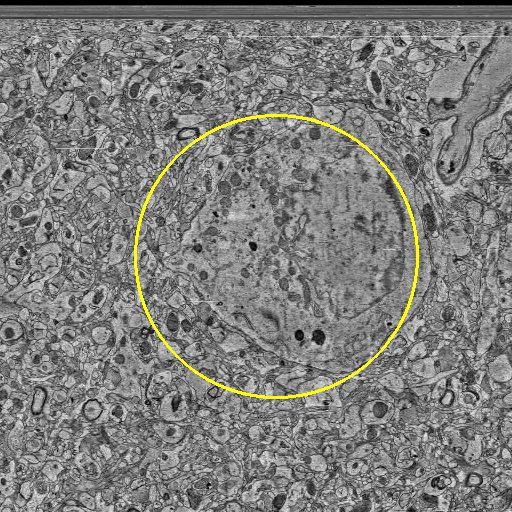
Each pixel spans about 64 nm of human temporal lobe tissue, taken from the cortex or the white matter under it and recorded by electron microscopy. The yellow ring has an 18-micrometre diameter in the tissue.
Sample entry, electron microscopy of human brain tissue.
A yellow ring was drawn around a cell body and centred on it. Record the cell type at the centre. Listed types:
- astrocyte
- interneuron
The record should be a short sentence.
The cell at the ring's centre is an interneuron.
